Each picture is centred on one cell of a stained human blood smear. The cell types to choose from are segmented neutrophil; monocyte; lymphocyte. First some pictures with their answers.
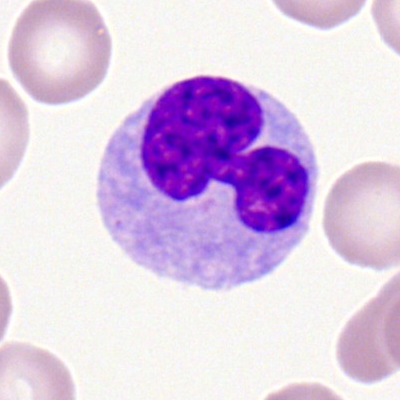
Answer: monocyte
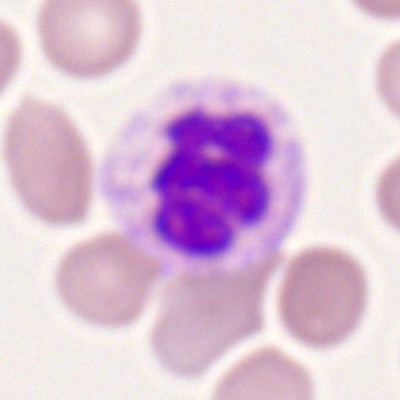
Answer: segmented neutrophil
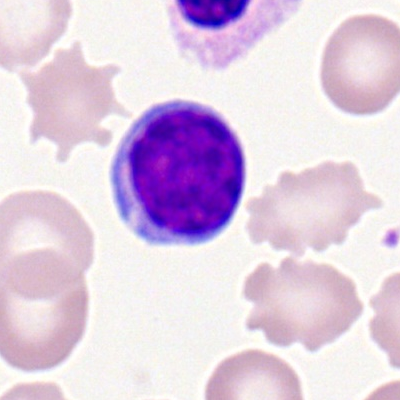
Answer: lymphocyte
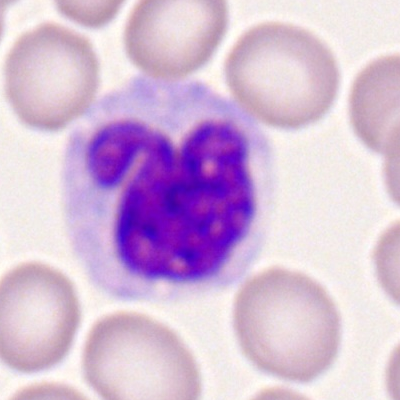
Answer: monocyte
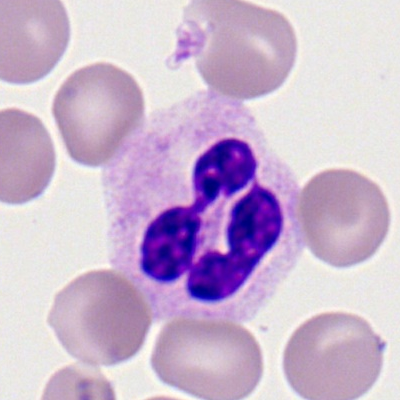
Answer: segmented neutrophil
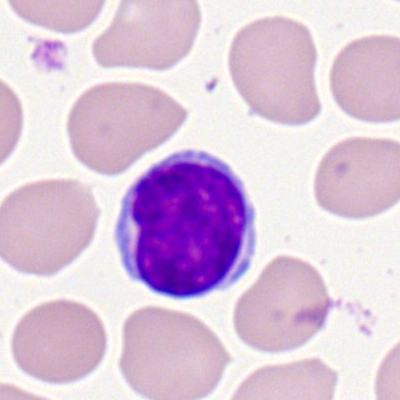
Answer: lymphocyte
